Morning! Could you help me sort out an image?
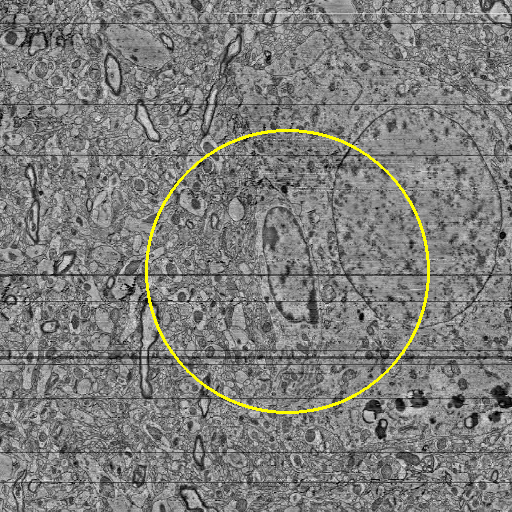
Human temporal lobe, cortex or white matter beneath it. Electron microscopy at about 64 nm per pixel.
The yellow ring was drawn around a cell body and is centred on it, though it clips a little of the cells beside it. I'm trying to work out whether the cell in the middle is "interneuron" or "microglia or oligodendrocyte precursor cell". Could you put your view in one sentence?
The ringed cell body is that of a microglial cell or oligodendrocyte precursor cell.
